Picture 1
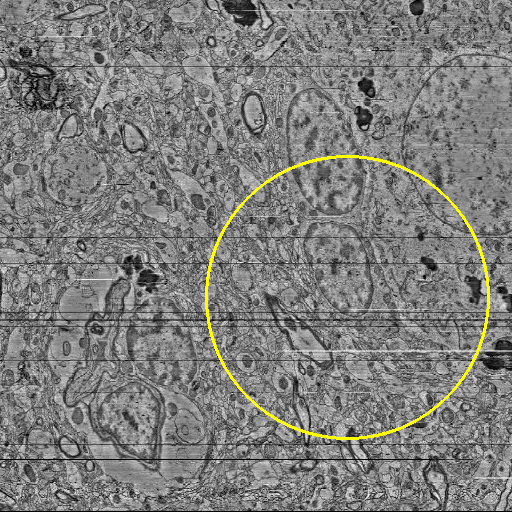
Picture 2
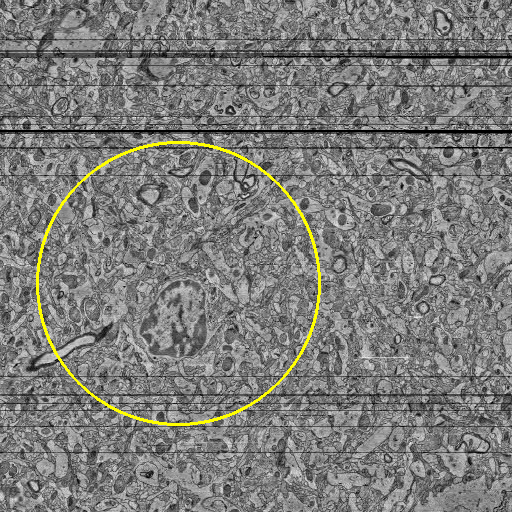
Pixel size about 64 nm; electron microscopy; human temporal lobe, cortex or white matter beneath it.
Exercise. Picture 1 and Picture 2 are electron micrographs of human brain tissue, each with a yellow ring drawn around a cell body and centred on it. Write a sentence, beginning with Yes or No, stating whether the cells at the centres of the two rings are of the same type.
No, the cells at the centres of the rings are of two types.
